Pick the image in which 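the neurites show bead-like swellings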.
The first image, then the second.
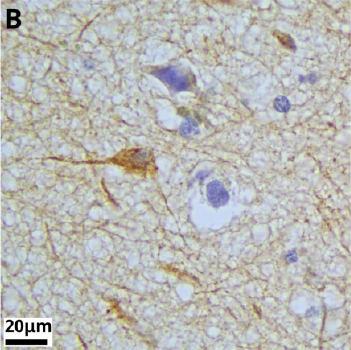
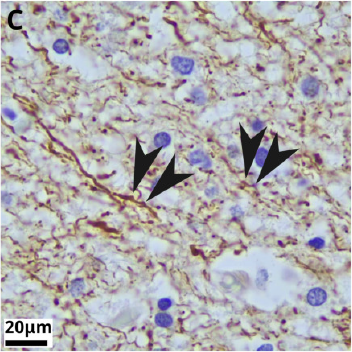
the second image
